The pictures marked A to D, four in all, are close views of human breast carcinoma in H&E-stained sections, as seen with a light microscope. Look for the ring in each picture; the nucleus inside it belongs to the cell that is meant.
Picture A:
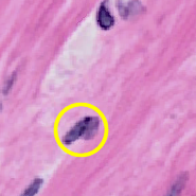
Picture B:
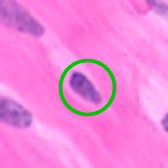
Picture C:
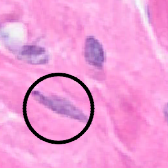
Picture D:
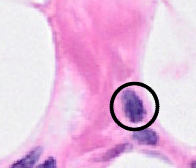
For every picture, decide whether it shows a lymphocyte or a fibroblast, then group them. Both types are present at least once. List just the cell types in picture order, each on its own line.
lymphocyte
lymphocyte
fibroblast
lymphocyte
